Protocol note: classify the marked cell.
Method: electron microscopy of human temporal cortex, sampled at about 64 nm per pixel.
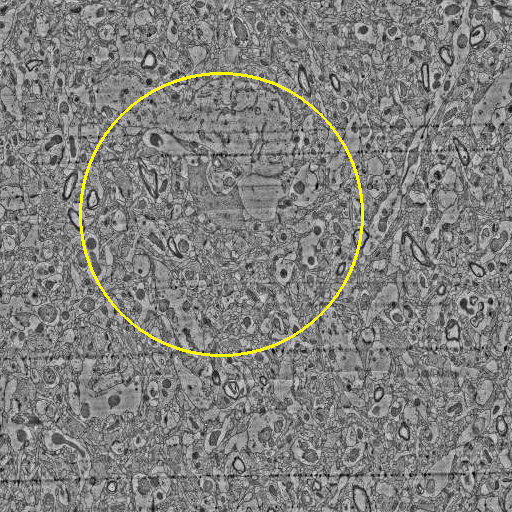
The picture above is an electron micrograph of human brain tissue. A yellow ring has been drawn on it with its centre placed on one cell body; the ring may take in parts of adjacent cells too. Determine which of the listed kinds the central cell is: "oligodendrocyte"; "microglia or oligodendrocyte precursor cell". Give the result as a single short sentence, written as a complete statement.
The central cell is an oligodendrocyte.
